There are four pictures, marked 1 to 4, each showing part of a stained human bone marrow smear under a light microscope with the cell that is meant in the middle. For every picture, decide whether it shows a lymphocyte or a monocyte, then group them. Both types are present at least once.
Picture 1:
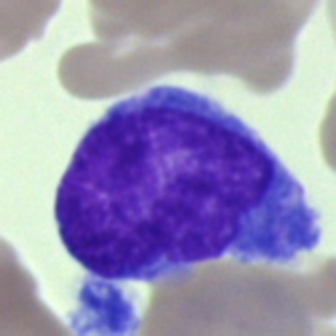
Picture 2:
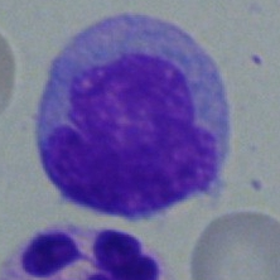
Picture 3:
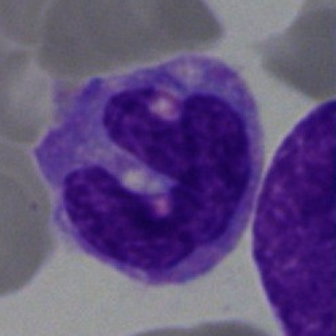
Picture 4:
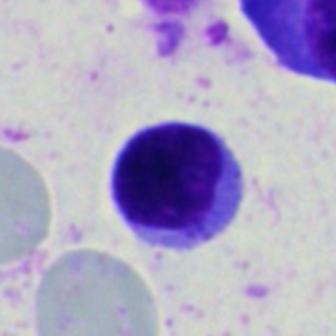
1: monocyte
2: monocyte
3: monocyte
4: lymphocyte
